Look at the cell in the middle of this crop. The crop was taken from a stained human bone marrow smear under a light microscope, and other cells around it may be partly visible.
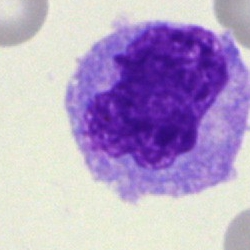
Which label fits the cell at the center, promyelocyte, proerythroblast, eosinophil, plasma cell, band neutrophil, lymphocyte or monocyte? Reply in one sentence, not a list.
Present in the middle of the crop is a monocyte.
